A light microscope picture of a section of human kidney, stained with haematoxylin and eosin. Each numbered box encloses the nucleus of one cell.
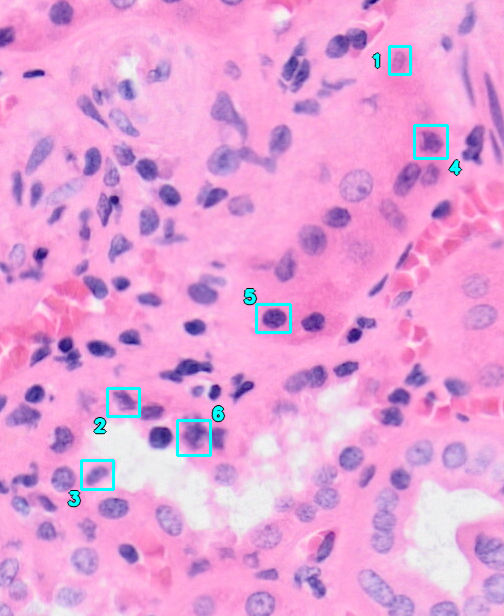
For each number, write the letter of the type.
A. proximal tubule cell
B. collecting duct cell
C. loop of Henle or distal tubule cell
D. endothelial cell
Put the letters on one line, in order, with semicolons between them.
A; C; C; A; A; C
